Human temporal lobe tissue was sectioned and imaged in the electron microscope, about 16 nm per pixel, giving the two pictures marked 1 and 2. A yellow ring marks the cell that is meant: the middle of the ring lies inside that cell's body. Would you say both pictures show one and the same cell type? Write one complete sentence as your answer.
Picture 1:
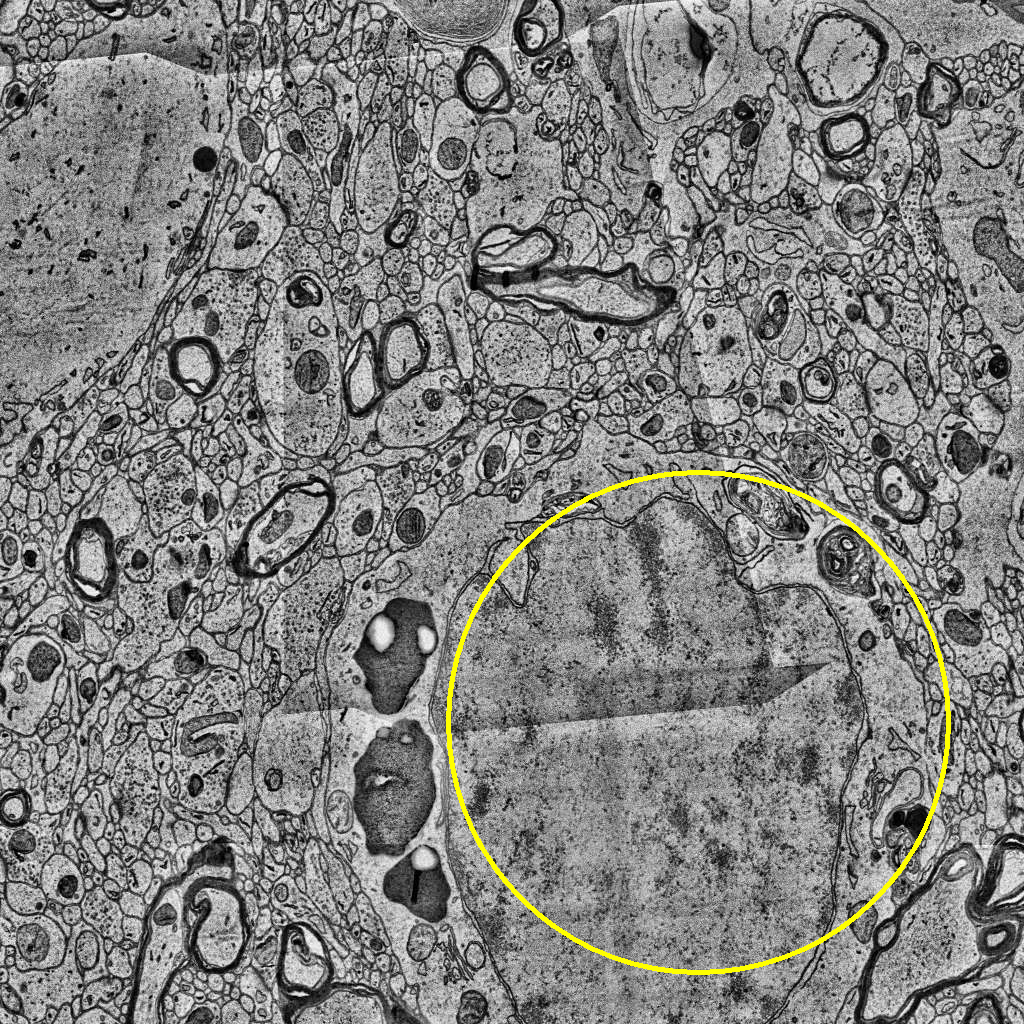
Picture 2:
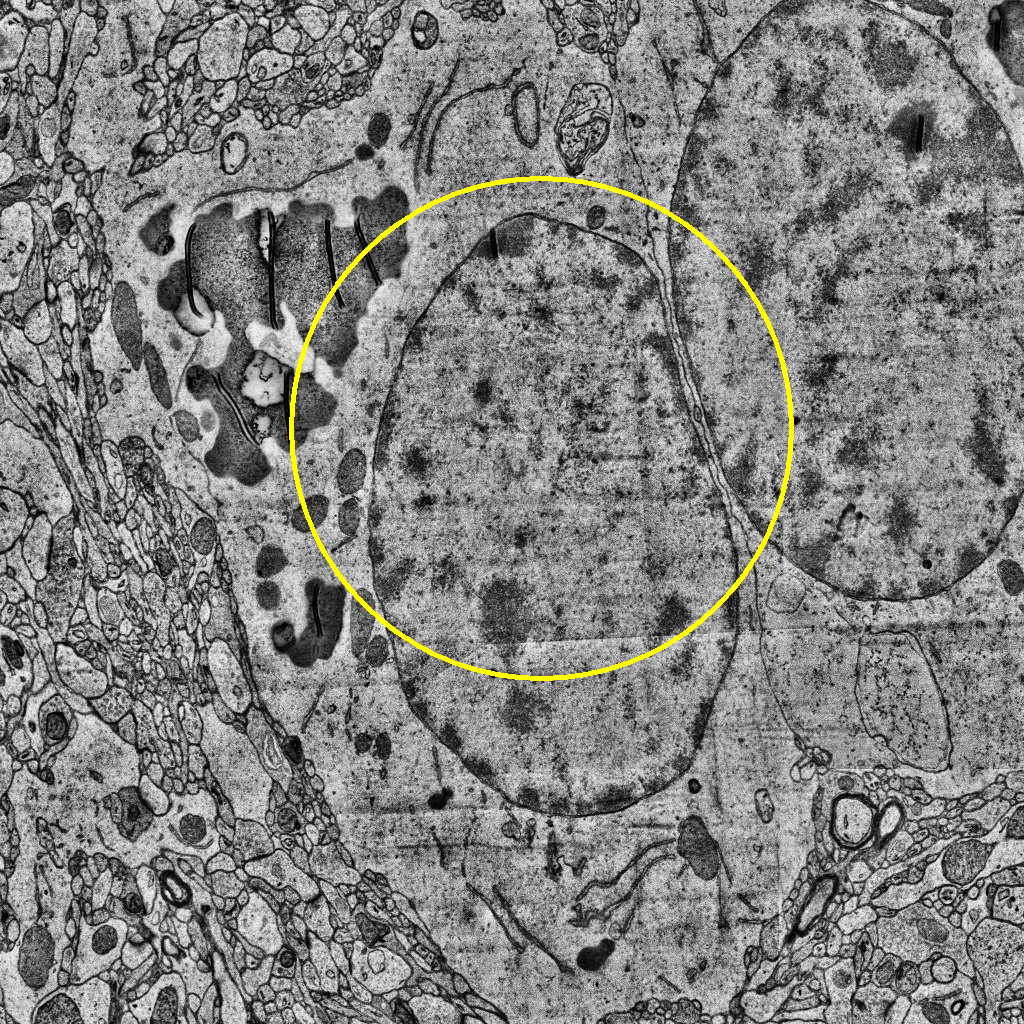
No, the types are not the same, since picture 1 shows an interneuron and picture 2 an astrocyte.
